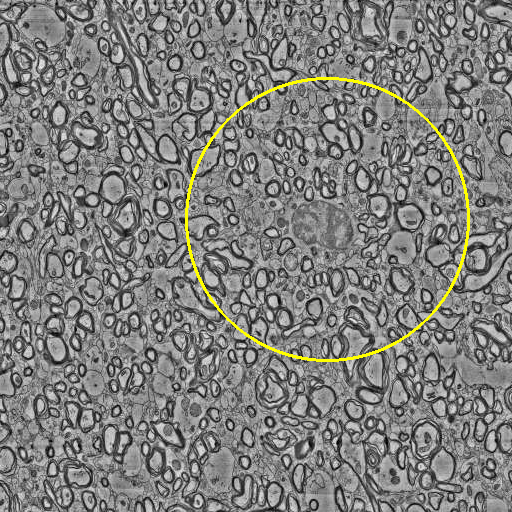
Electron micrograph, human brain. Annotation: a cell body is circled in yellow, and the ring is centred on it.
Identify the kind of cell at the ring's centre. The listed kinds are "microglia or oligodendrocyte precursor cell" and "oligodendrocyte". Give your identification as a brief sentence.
The circled cell body is that of an oligodendrocyte.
